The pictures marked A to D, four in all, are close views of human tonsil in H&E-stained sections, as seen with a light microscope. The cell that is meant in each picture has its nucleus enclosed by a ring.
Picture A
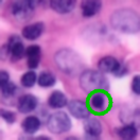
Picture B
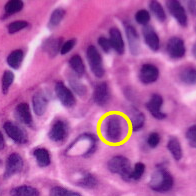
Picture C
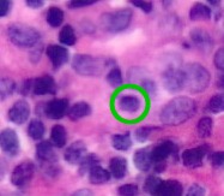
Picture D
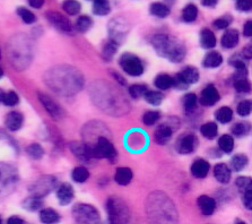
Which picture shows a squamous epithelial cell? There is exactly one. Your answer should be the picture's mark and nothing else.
B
